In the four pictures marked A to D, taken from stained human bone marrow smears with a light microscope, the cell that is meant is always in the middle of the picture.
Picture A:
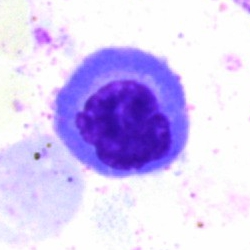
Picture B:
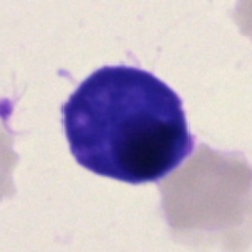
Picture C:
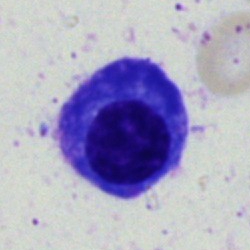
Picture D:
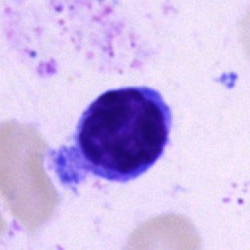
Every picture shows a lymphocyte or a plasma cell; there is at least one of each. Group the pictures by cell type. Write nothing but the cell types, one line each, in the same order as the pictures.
plasma cell
plasma cell
plasma cell
lymphocyte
